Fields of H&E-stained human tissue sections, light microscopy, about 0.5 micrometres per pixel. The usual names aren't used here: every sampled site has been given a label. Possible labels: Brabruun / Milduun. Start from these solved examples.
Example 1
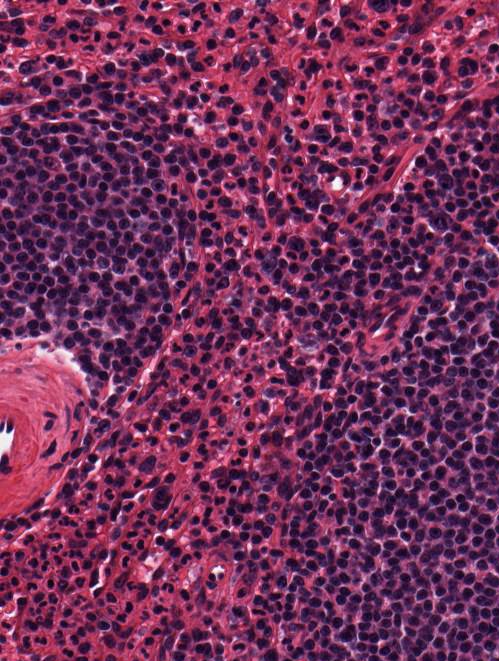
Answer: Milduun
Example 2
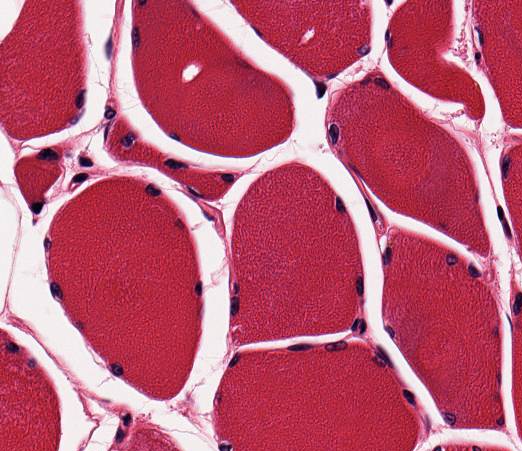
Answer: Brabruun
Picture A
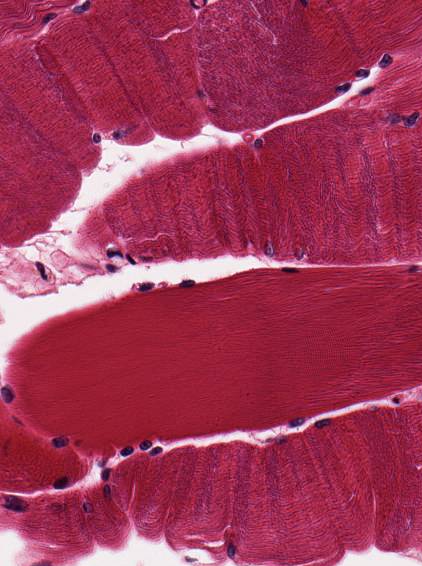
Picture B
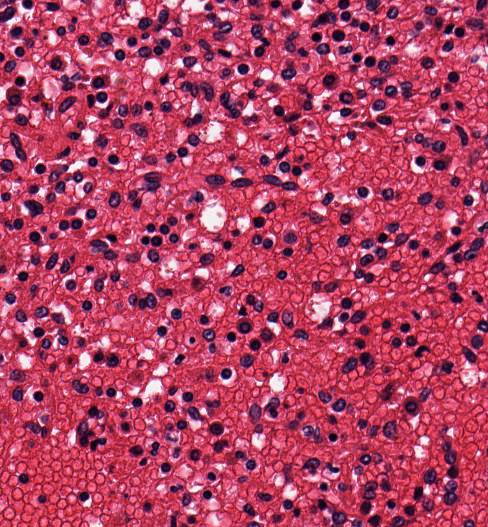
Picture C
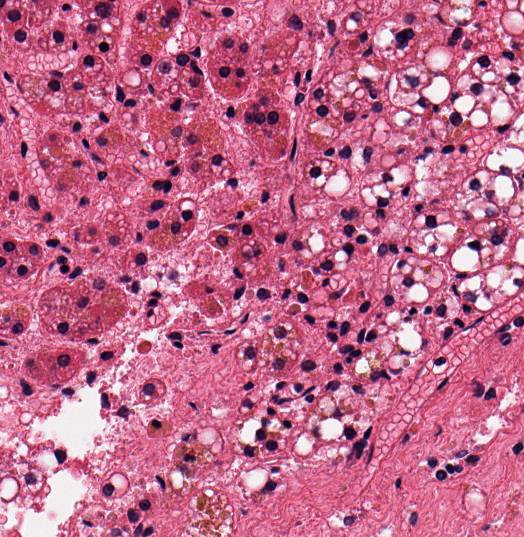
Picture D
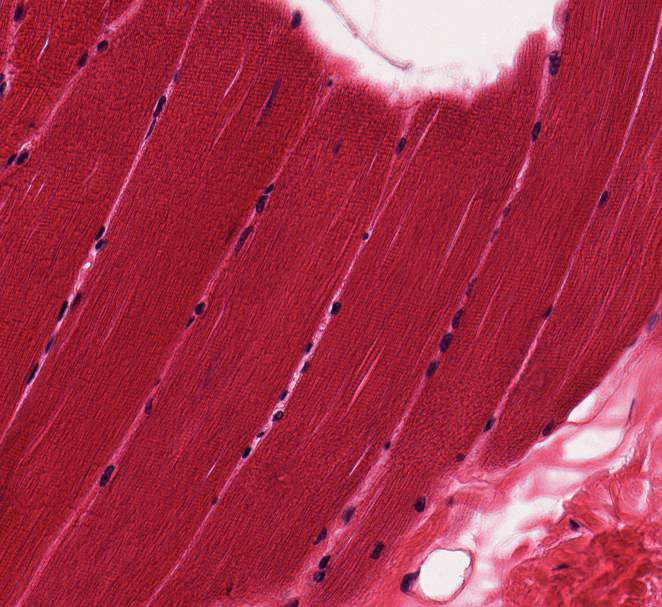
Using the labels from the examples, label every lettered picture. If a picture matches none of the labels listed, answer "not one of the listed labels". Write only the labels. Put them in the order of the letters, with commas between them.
Brabruun, Milduun, not one of the listed labels, Brabruun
